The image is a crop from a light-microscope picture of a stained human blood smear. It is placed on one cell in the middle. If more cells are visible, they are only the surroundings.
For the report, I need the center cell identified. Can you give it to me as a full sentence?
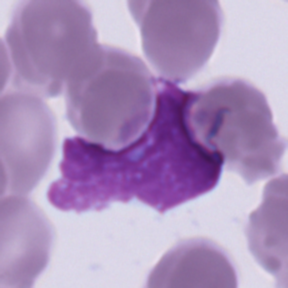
The crop's centre is taken up by a smudge cell.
